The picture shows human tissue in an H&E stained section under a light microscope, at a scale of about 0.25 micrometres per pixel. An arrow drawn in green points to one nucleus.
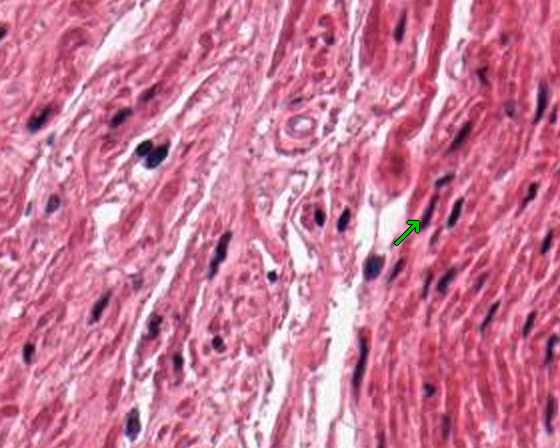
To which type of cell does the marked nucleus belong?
smooth muscle cell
